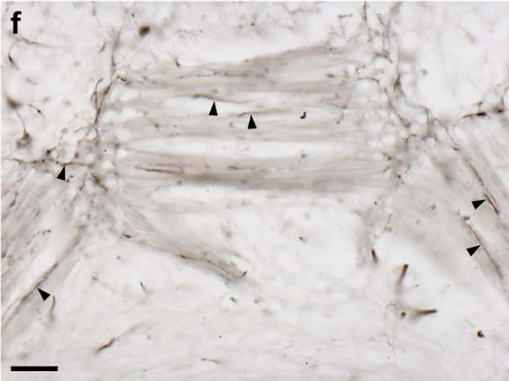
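The field shows several bundles of long parallel fibers crossing a pale, loose meshwork of tissue. The bundles are straight, faintly striated along their length and run in different directions, some horizontal and some oblique at the sides. Fine dark brown threads run along the fiber bundles and branch through the surrounding meshwork.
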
